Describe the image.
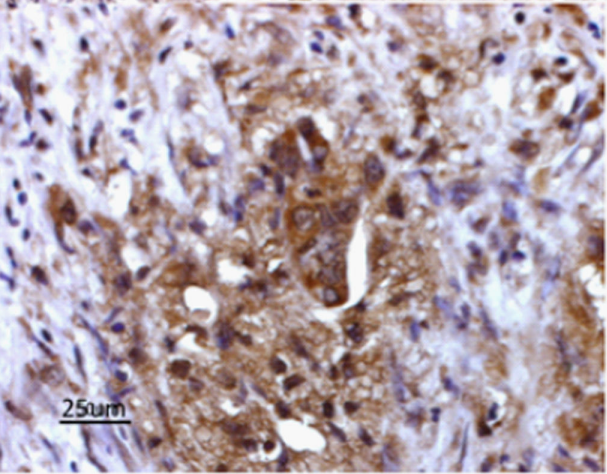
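A cluster of large, irregular polygonal cells with abundant brown-stained cytoplasm and large nuclei sits in the middle of the field. Around them lie smaller spindle-shaped cells with slender blue nuclei in a pale, loose stroma. The large cells vary in size and shape, and some seem to abut or enclose neighbouring cells.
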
